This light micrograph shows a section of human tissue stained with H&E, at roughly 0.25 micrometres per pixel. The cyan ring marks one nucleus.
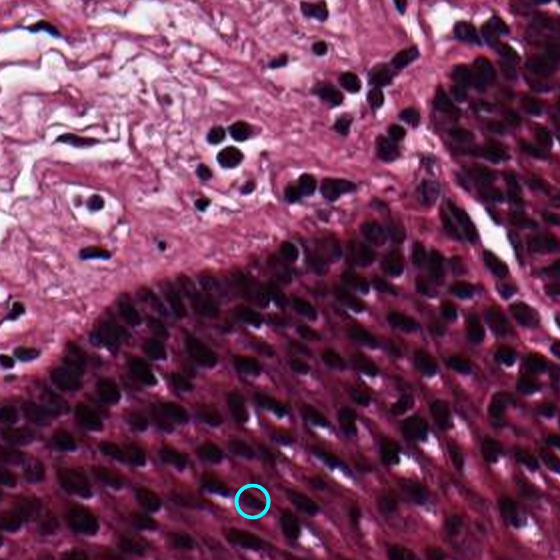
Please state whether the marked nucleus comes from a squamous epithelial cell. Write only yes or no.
yes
